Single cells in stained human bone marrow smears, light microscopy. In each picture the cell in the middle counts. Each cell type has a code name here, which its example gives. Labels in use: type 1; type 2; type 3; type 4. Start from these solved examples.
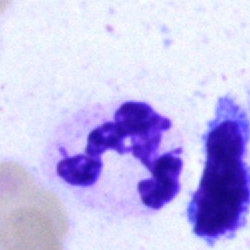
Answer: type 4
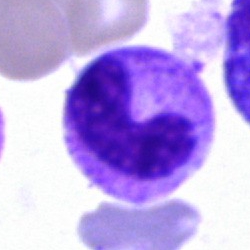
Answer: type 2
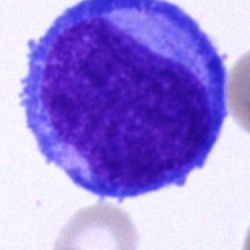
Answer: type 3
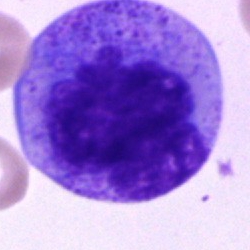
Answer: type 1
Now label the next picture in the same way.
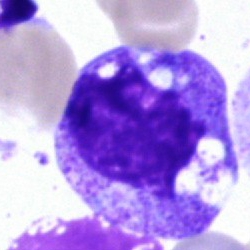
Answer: type 1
